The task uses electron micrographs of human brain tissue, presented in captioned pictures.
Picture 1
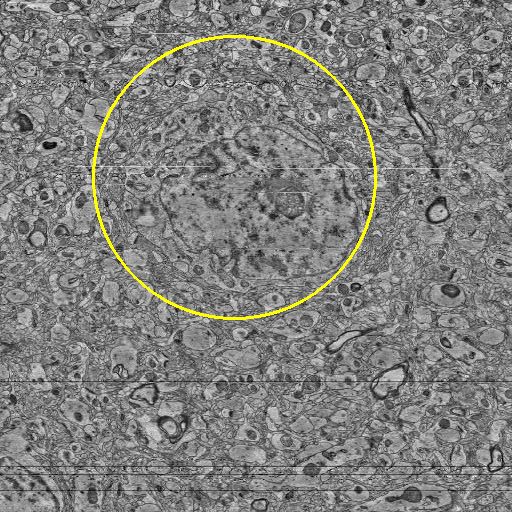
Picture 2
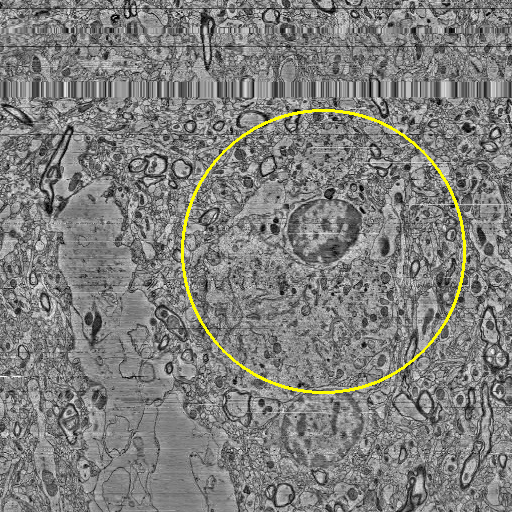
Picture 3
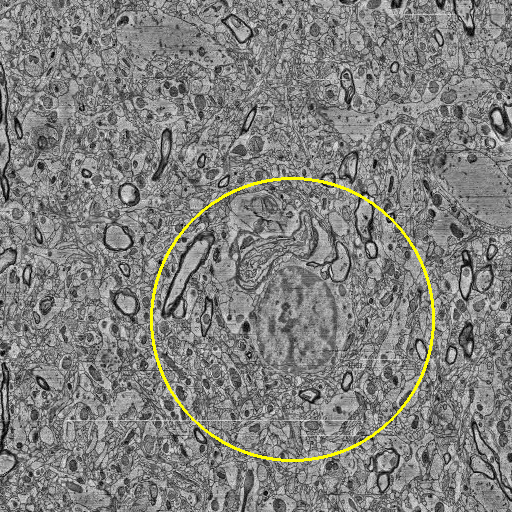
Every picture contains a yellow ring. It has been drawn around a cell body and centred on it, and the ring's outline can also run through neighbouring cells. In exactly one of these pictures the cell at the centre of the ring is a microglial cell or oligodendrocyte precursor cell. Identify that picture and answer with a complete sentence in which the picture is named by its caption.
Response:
The ring in Picture 2 is centred on that kind of cell.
